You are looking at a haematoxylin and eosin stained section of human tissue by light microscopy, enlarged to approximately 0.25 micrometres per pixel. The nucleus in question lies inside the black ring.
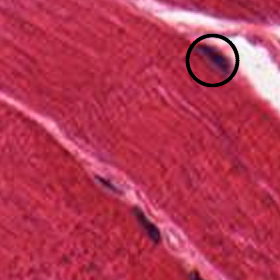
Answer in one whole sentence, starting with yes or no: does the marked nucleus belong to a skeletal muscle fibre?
Yes, the marked nucleus is held by a skeletal muscle fibre.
